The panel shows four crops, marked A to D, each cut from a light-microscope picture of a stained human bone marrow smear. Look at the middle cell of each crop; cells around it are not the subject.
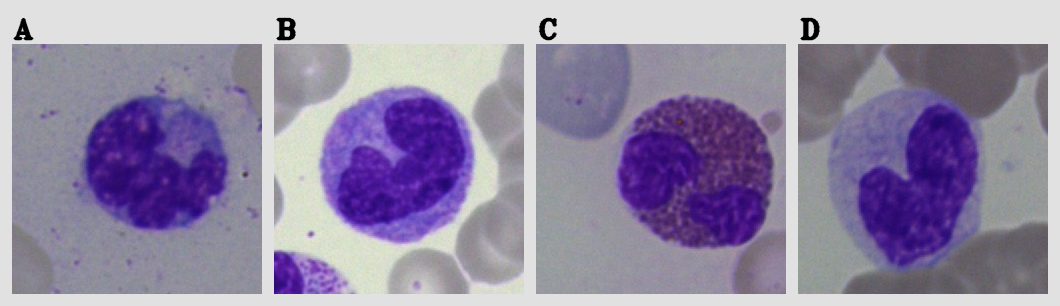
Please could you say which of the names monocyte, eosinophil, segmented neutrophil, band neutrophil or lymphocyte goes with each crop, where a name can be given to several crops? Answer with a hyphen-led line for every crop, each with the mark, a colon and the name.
- A: monocyte
- B: monocyte
- C: eosinophil
- D: band neutrophil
